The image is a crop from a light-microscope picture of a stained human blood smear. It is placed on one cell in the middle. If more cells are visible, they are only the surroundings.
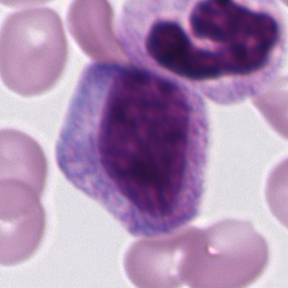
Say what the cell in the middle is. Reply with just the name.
myelocyte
